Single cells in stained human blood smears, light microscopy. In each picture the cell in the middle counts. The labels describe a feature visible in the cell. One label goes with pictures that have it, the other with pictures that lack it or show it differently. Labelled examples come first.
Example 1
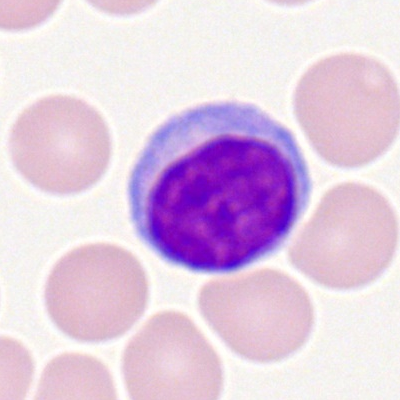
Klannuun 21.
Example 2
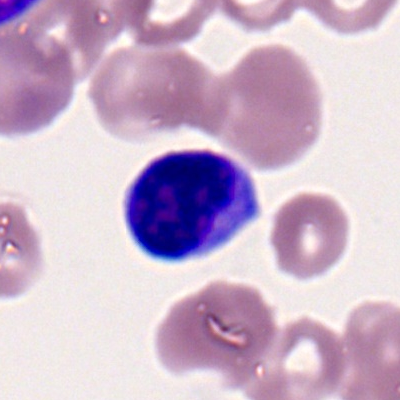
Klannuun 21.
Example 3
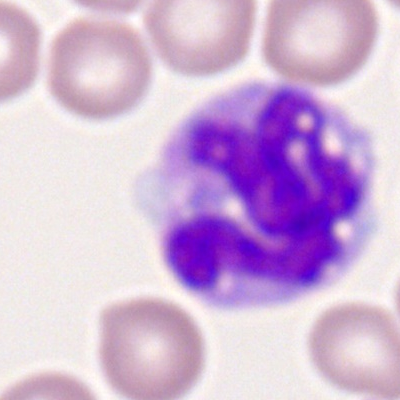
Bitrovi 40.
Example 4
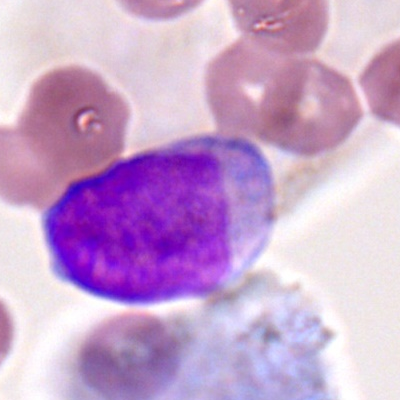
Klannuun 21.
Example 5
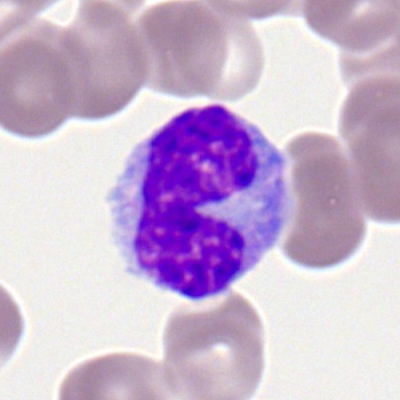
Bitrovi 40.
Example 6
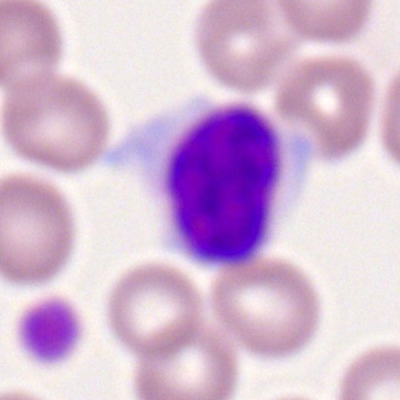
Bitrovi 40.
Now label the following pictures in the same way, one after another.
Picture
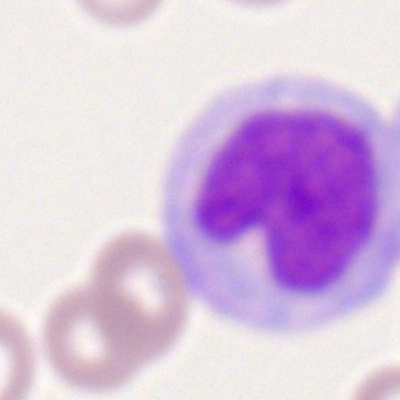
Klannuun 21.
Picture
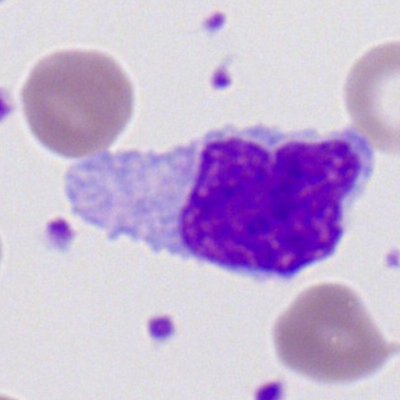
Bitrovi 40.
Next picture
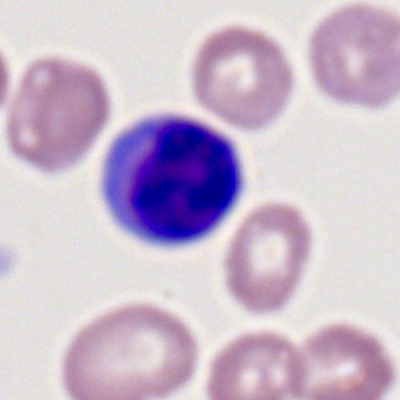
Klannuun 21.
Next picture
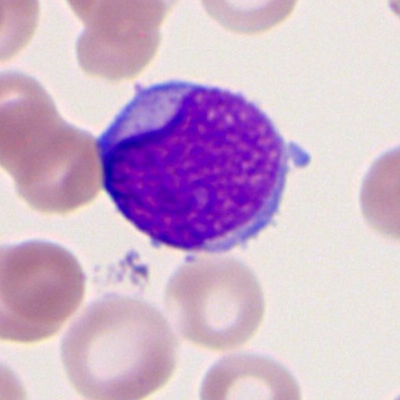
Bitrovi 40.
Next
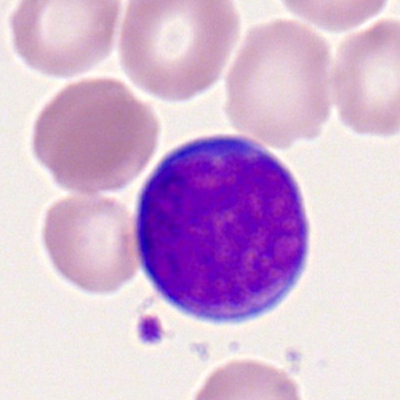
Klannuun 21.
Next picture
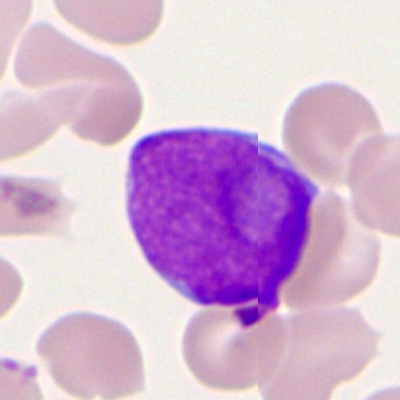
Bitrovi 40.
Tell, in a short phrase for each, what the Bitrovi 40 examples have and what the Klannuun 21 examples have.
Bitrovi 40: ragged outline or projections; Klannuun 21: smooth outline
